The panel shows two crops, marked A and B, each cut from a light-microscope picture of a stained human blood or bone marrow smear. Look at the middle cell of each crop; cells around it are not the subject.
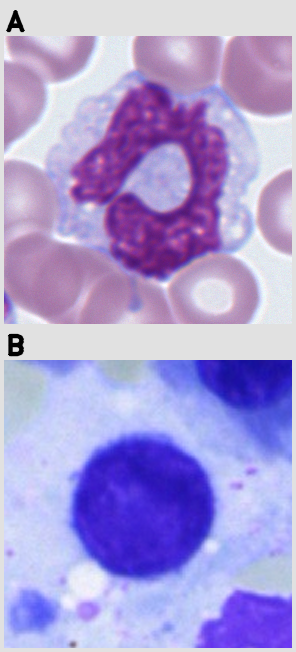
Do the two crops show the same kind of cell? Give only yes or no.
no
